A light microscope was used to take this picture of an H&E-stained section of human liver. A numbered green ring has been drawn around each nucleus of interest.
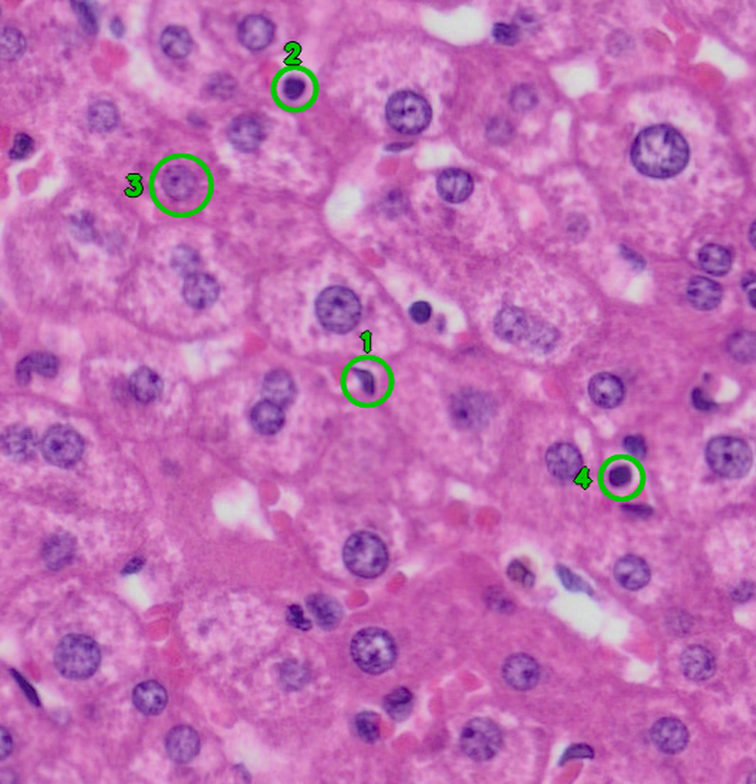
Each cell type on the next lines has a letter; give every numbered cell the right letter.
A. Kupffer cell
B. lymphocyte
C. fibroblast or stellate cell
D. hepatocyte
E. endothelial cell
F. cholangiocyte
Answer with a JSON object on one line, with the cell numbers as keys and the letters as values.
{"1": "E", "2": "B", "3": "D", "4": "B"}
